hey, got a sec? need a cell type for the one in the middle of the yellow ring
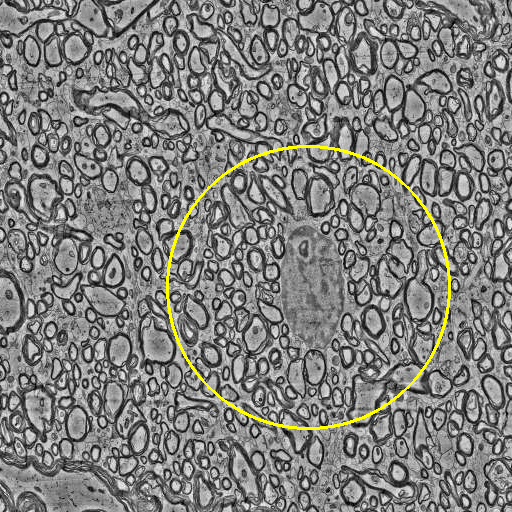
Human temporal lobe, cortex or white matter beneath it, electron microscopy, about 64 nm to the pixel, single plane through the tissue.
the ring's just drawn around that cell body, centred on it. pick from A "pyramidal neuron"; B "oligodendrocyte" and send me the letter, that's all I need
B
